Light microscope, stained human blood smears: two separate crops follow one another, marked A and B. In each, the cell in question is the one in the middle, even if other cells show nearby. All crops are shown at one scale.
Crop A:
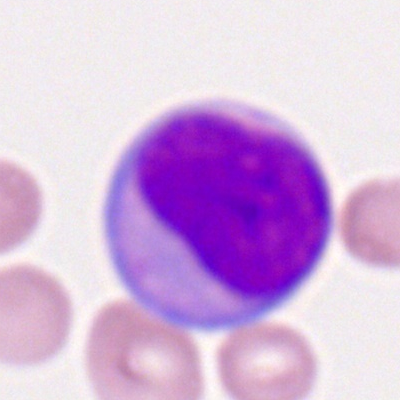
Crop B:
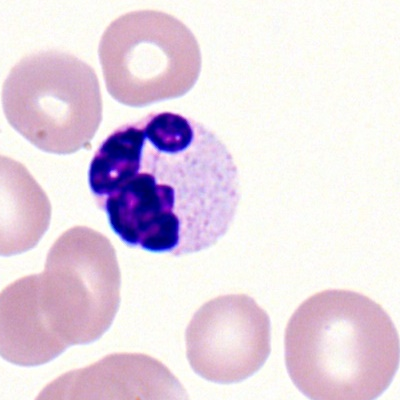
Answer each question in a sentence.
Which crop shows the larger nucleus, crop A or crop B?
The nucleus in crop A is larger, with about 3 times the area of the one in crop B.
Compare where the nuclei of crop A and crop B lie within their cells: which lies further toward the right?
The nucleus in crop A lies further toward the right of its cell.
